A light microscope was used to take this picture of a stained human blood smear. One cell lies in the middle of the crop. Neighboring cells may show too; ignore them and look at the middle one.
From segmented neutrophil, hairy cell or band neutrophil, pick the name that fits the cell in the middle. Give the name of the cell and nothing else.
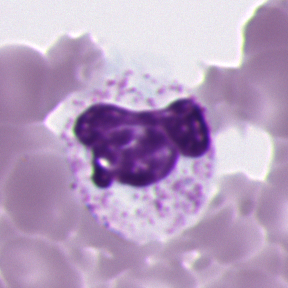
segmented neutrophil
